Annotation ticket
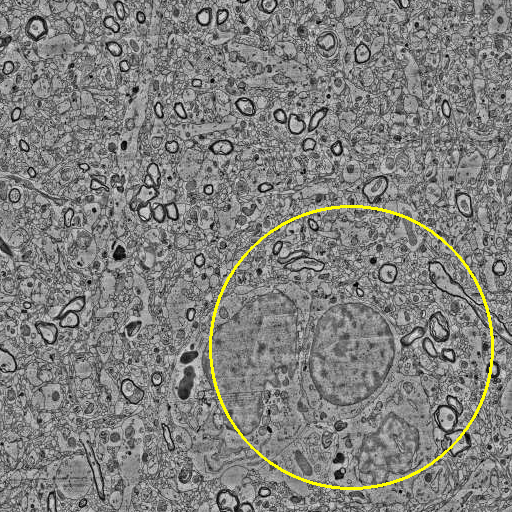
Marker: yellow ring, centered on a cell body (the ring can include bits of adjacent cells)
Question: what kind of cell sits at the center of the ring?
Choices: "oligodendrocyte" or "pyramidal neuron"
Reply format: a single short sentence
The ring is centered on an oligodendrocyte.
